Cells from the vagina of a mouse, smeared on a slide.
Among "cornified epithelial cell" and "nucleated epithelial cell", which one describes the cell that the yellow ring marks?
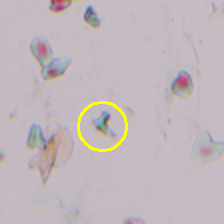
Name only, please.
cornified epithelial cell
